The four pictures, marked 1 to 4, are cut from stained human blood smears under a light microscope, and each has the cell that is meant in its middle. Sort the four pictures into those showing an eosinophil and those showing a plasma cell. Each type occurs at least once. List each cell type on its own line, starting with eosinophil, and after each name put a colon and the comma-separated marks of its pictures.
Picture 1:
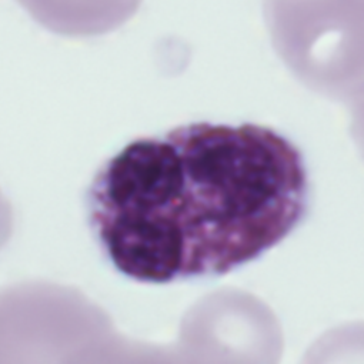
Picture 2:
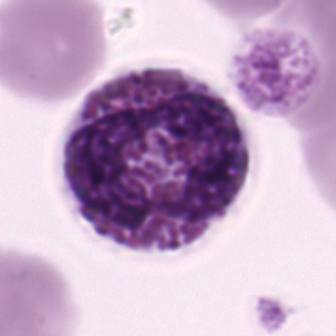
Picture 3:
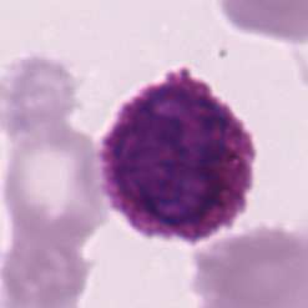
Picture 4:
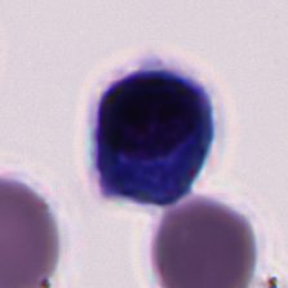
eosinophil: 1, 2, 3
plasma cell: 4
